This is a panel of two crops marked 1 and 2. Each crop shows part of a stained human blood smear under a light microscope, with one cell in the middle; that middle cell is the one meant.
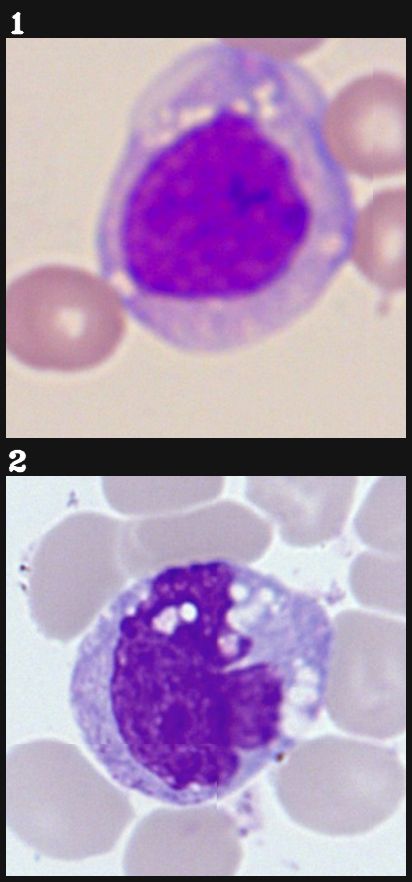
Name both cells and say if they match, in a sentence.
Yes, the central cells in both crops are monocytes.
